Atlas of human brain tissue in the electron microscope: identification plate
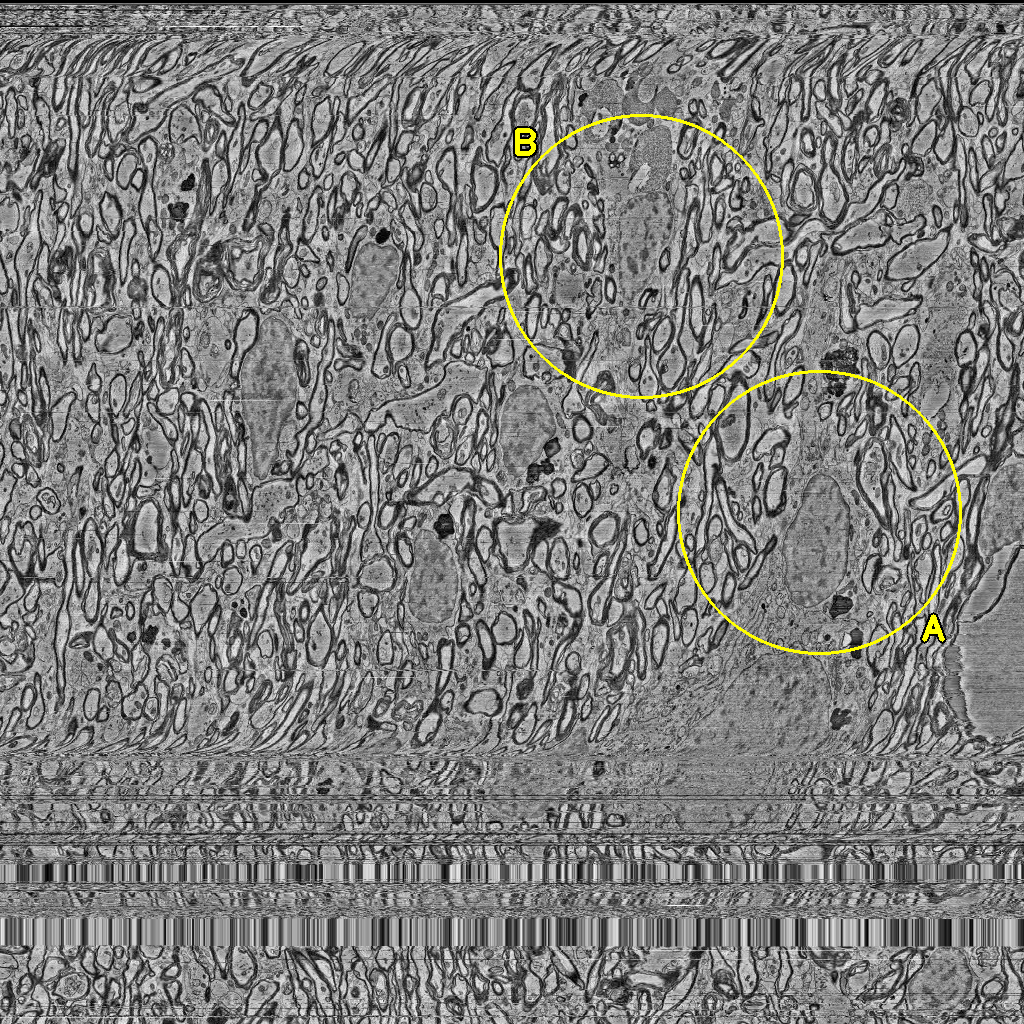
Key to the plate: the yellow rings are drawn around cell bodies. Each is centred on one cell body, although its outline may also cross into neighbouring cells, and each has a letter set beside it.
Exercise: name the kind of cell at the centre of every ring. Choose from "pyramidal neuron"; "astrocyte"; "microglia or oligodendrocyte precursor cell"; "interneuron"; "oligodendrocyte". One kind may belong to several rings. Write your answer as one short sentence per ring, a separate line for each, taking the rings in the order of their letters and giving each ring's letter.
The centre of ring A is occupied by an oligodendrocyte.
The centre of ring B is occupied by an astrocyte.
